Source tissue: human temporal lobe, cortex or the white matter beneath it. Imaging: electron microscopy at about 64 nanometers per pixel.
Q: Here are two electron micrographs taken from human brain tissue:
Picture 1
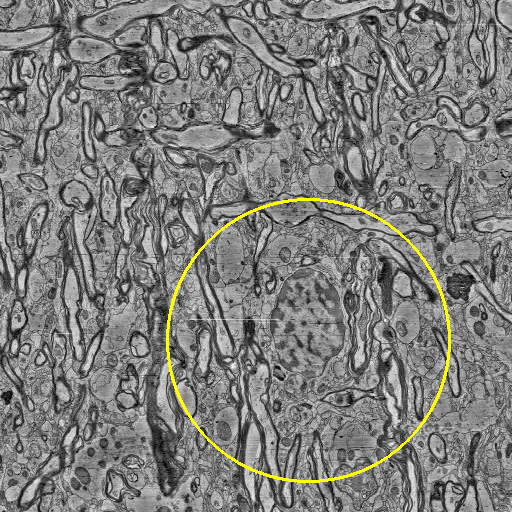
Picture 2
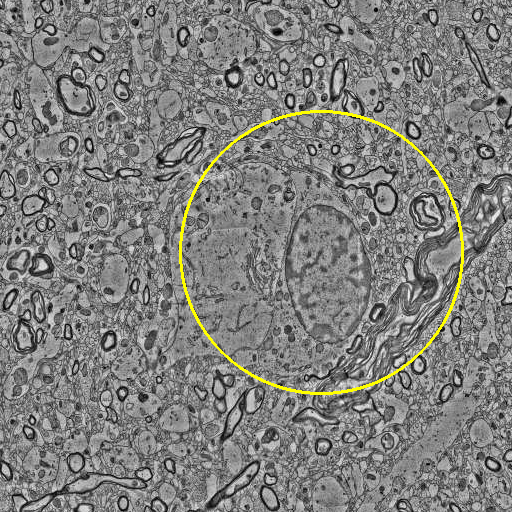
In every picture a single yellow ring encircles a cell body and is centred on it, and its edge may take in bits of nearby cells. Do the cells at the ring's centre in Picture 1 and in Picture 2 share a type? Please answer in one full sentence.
No, the cells at the ring's centre in Picture 1 and Picture 2 are of two types.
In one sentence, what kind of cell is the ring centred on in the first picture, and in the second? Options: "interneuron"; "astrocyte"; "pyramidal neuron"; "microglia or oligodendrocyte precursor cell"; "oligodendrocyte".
The cell at the centre of the second ring is an oligodendrocyte; the first ring's cell is a microglial cell or oligodendrocyte precursor cell.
